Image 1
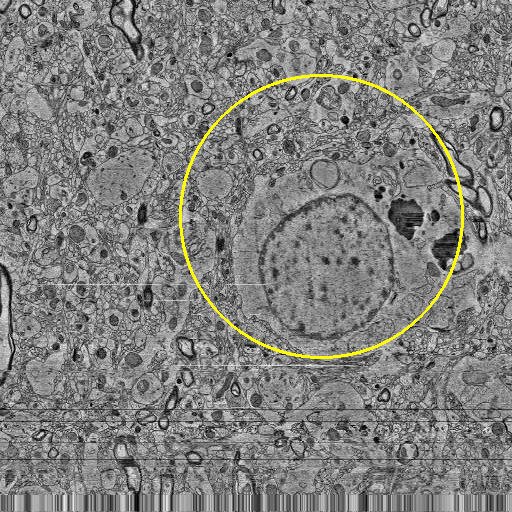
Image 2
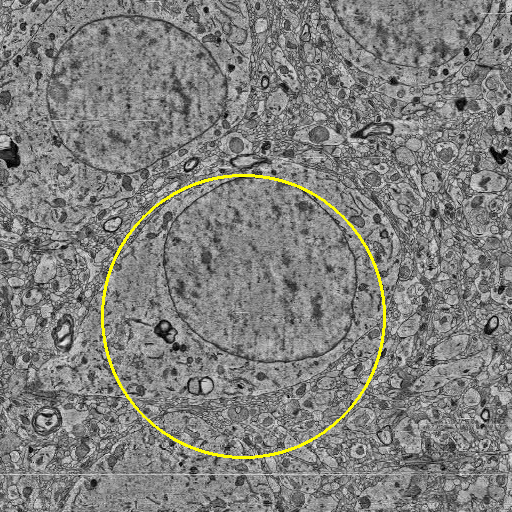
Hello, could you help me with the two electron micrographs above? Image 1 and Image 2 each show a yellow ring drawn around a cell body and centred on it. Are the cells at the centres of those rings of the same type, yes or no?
no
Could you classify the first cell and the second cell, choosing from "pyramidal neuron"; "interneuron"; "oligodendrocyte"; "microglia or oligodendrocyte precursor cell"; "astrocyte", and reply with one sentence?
The second cell is a pyramidal neuron, while the first is an astrocyte.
